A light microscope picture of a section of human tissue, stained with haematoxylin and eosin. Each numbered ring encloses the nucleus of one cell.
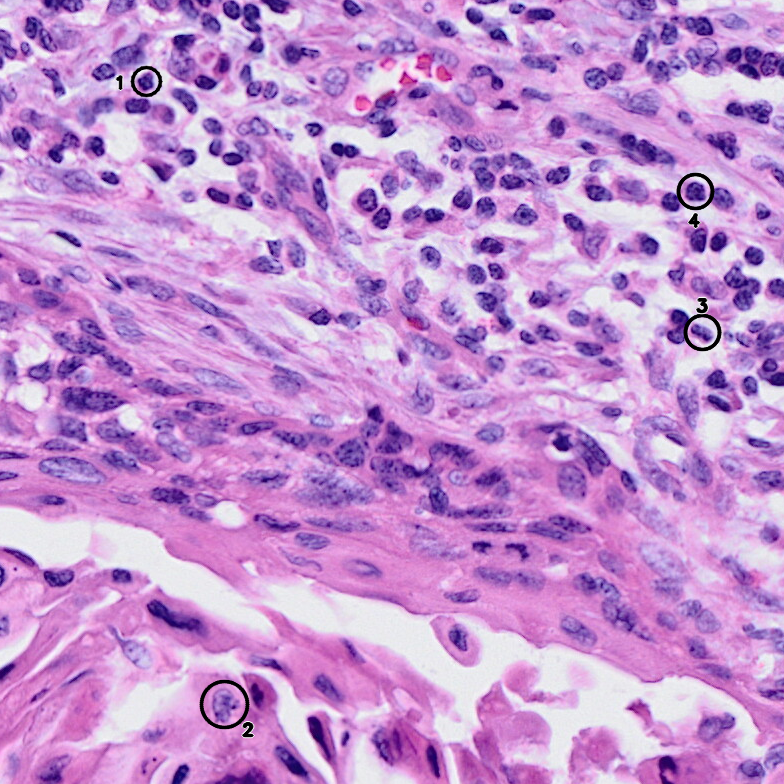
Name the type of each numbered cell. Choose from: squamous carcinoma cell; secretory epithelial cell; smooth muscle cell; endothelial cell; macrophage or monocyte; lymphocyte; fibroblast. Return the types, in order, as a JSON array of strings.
["lymphocyte", "squamous carcinoma cell", "lymphocyte", "lymphocyte"]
